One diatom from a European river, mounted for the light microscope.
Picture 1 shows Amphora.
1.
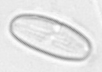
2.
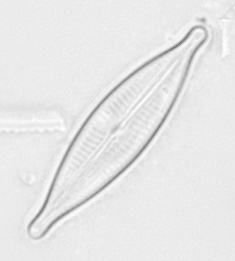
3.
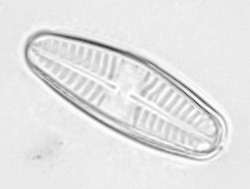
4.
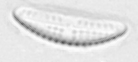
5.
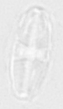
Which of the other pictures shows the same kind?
Picture 4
